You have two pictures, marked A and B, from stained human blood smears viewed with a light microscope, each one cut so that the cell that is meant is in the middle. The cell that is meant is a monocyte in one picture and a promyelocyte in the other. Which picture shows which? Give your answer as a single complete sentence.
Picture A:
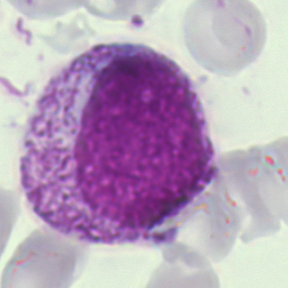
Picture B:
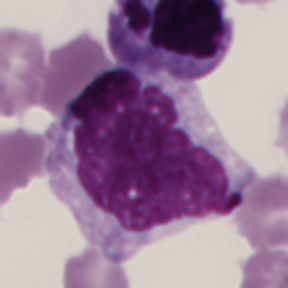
In picture A the cell is a promyelocyte; in picture B, a monocyte.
